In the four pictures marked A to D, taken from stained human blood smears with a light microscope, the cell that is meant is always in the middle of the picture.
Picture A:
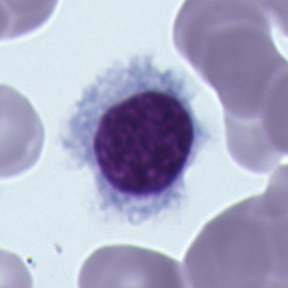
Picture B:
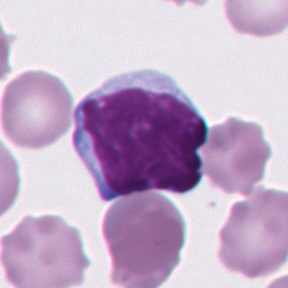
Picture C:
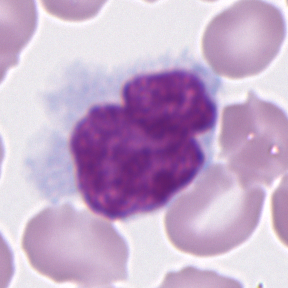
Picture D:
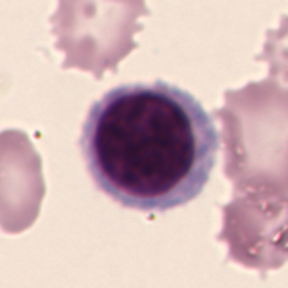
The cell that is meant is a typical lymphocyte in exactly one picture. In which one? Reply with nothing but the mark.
B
